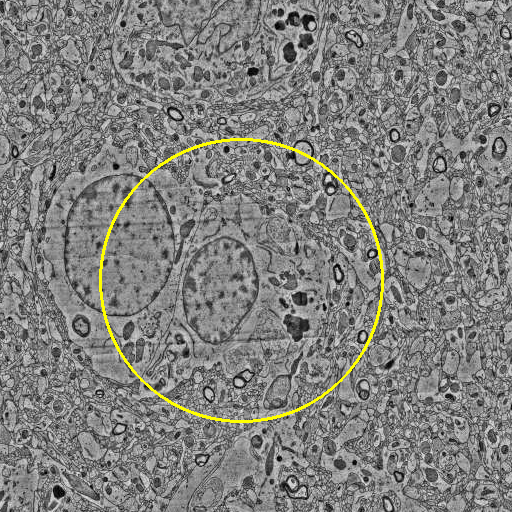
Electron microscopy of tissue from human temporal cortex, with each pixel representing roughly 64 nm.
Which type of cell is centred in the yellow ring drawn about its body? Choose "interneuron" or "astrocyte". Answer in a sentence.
The yellow ring surrounds the cell body of an astrocyte.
